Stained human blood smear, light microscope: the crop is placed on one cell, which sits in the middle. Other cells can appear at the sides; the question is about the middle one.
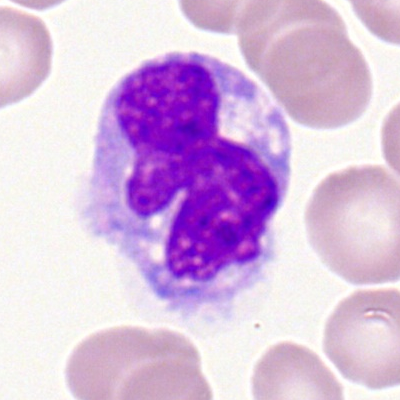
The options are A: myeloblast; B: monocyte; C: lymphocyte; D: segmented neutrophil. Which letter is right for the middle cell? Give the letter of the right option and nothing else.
B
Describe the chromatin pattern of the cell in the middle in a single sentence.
Check the chromatin: it is fine and not coarsely clumped.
